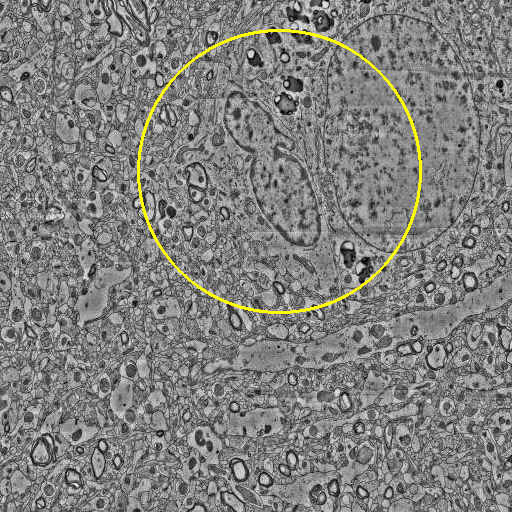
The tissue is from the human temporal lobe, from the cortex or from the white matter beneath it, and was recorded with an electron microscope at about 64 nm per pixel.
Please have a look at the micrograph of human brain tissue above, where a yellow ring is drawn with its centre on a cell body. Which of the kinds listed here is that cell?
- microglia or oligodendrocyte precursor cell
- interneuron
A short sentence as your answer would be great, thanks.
At the centre of the ring sits a microglial cell or oligodendrocyte precursor cell.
